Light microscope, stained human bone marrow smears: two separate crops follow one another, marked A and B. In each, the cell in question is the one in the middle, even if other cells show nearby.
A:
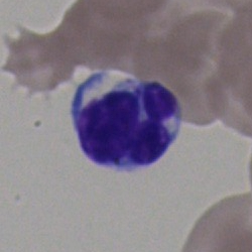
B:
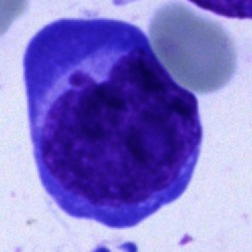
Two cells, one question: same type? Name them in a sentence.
No, it is a lymphocyte that crop A shows, and a blast that crop B shows.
